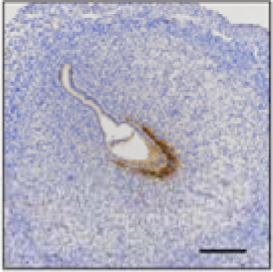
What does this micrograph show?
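Near the centre a narrow, elongated lumen runs through the tissue, widening into a small chamber. Brown staining is concentrated in the cells lining one side of this chamber and in the tissue just beneath them. Away from the lumen, the stroma shows no brown stain and only the blue nuclei.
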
